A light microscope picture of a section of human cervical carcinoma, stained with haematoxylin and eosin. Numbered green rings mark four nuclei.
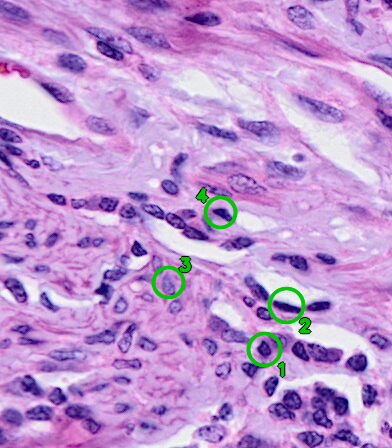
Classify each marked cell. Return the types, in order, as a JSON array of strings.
["lymphocyte", "lymphocyte", "smooth muscle cell", "lymphocyte"]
